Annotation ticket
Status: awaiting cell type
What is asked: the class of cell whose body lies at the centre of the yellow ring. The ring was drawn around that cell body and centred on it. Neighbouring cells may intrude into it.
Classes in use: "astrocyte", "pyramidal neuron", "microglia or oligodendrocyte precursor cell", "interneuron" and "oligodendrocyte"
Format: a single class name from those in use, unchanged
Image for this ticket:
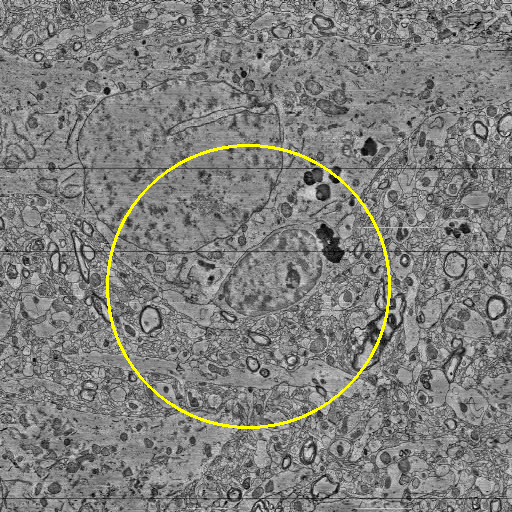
oligodendrocyte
